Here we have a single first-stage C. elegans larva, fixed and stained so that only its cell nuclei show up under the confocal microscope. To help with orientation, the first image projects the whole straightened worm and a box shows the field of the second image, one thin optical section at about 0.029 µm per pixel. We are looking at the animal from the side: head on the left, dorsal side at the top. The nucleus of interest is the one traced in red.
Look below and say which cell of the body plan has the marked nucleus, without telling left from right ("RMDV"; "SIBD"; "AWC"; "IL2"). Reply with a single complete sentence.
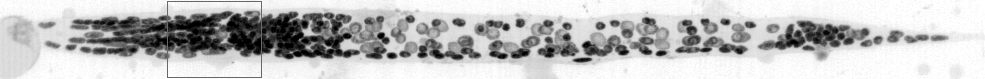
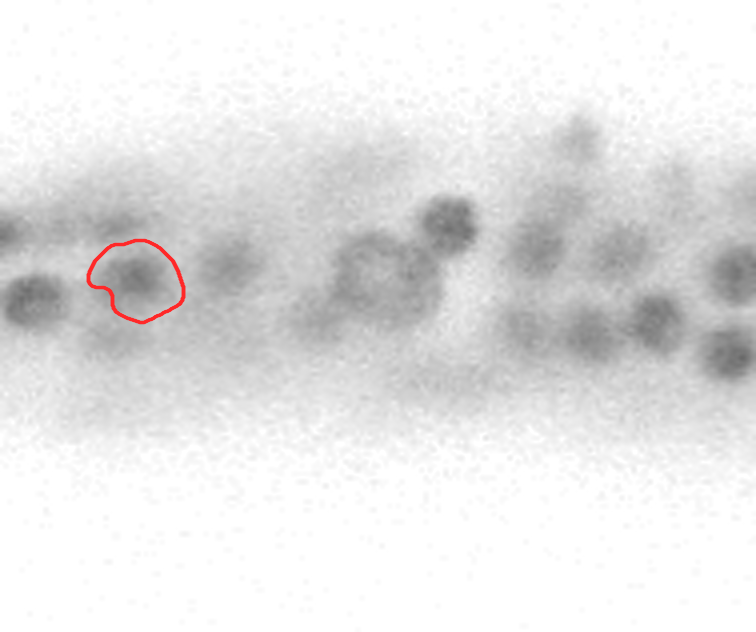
The marked nucleus is that of IL2, a neuron.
